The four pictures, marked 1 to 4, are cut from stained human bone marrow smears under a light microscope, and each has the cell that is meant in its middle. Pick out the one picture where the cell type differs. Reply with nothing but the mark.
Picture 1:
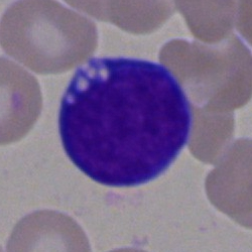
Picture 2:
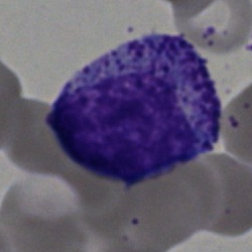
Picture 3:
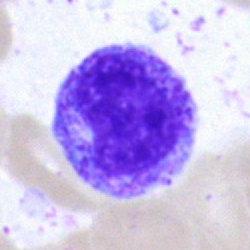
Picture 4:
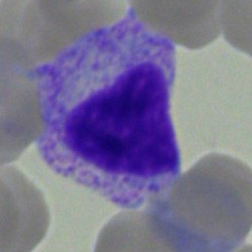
1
